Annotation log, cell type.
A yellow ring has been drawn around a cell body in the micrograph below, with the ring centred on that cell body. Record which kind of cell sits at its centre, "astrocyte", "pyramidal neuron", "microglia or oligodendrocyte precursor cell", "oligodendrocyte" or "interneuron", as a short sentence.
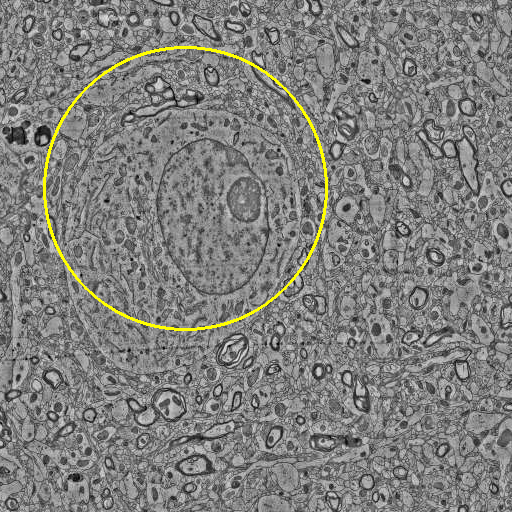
The cell at the centre of this ring is an interneuron.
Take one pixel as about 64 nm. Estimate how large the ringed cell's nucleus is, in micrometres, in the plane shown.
In this plane, approximately 10 by 7 micrometers.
